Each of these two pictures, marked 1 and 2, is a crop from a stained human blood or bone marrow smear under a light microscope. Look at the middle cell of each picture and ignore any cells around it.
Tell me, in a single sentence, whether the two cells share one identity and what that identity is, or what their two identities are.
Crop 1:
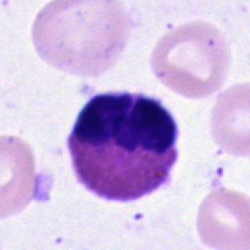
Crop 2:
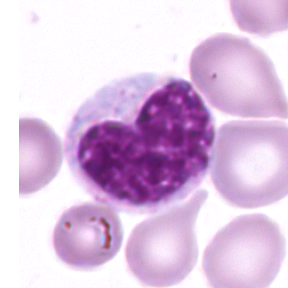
No, the labels go like this: crop 1 is an eosinophil and crop 2 is a metamyelocyte.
